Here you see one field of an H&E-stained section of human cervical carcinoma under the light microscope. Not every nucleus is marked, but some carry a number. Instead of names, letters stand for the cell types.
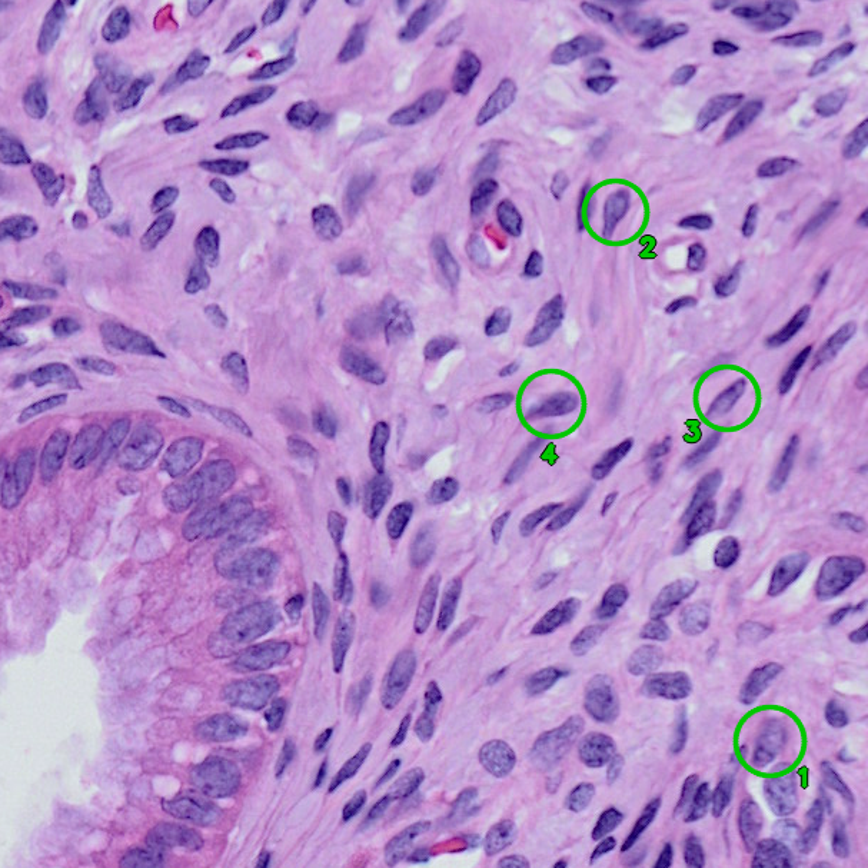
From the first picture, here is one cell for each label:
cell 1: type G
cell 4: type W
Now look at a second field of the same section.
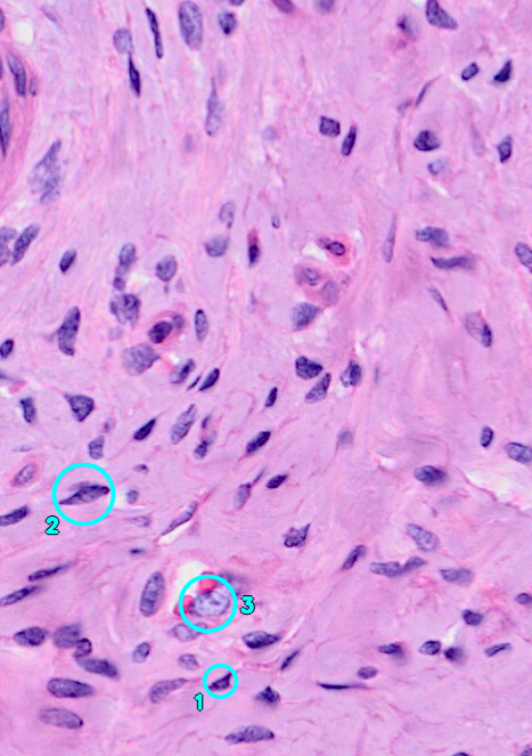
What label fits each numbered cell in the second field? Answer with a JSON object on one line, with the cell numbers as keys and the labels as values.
{"1": "type W", "2": "type W", "3": "type G"}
